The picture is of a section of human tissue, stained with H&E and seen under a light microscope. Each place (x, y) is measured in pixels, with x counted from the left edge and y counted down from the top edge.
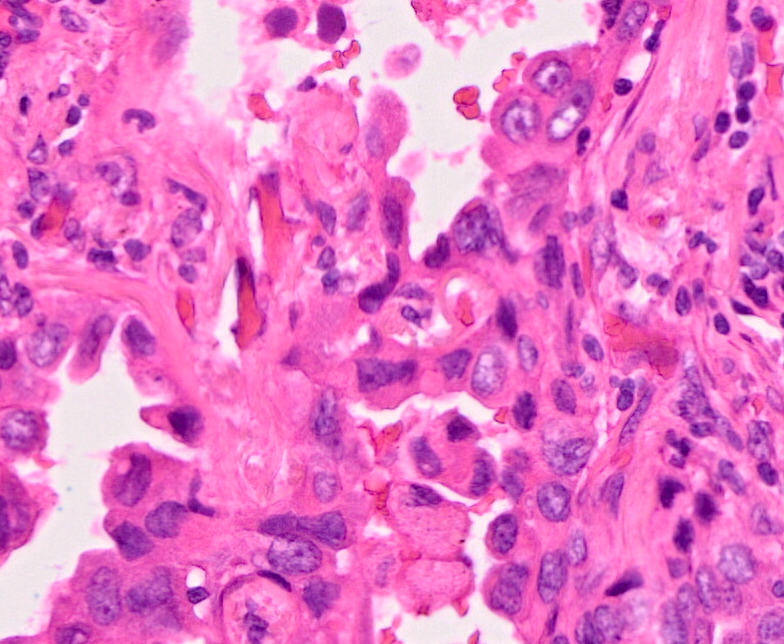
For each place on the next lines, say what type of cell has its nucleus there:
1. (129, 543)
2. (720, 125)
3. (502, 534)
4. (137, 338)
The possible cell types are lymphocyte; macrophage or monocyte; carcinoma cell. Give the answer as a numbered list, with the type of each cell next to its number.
1. carcinoma cell
2. lymphocyte
3. carcinoma cell
4. carcinoma cell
